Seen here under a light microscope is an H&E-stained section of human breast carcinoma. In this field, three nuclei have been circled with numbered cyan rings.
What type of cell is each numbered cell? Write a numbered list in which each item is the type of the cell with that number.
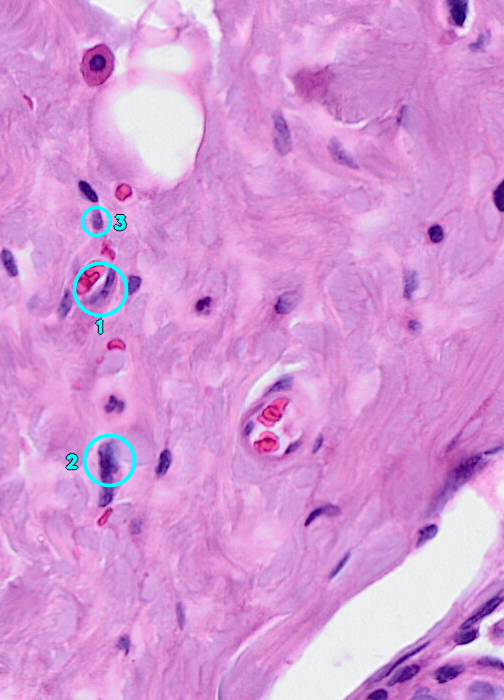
1. endothelial cell
2. fibroblast
3. fibroblast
